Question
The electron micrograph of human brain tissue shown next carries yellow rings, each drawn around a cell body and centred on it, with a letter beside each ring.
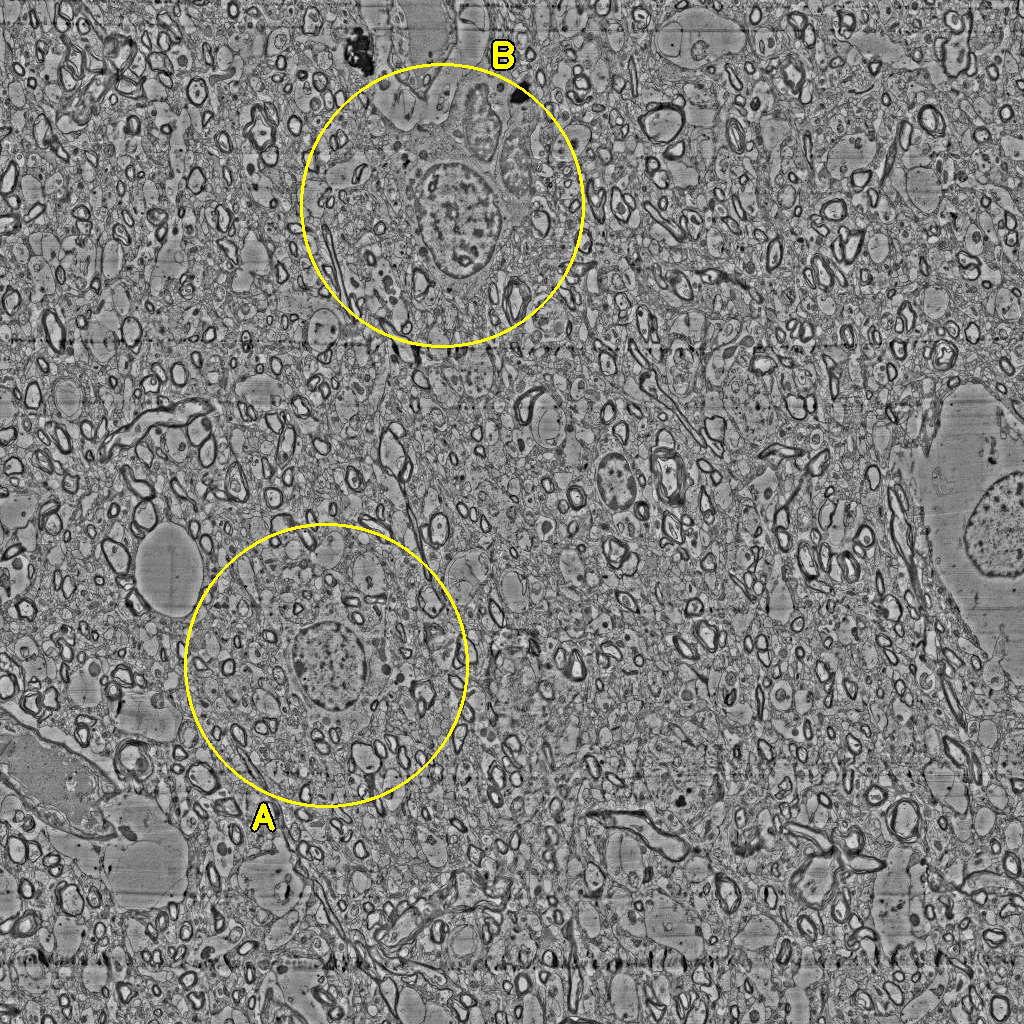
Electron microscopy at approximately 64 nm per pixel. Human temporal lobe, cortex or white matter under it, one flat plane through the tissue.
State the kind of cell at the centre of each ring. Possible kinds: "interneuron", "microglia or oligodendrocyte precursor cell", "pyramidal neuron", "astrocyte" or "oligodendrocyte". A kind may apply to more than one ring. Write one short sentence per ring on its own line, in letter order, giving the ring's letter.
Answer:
The cell centred in ring A is a microglial cell or oligodendrocyte precursor cell.
The cell centred in ring B is an oligodendrocyte.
